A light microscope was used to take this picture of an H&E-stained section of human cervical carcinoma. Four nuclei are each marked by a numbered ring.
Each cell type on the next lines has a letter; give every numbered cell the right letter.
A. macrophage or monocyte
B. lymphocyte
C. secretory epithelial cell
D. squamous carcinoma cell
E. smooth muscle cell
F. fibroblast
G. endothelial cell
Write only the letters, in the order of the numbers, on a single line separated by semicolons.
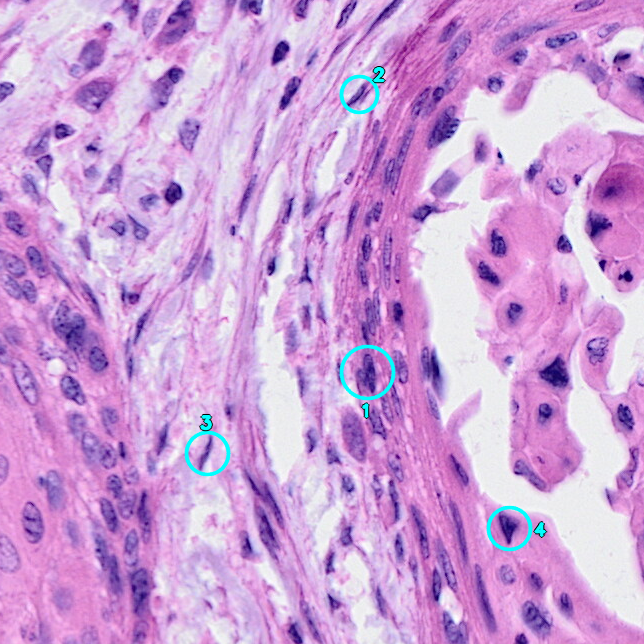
D; F; F; D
